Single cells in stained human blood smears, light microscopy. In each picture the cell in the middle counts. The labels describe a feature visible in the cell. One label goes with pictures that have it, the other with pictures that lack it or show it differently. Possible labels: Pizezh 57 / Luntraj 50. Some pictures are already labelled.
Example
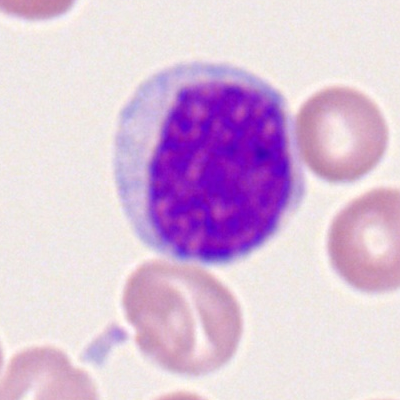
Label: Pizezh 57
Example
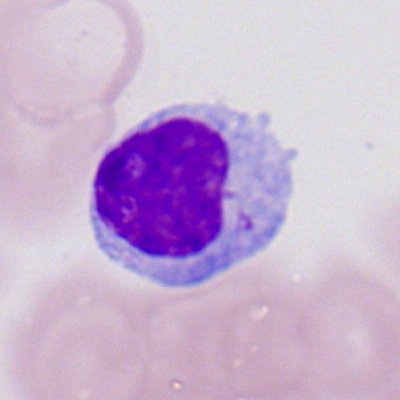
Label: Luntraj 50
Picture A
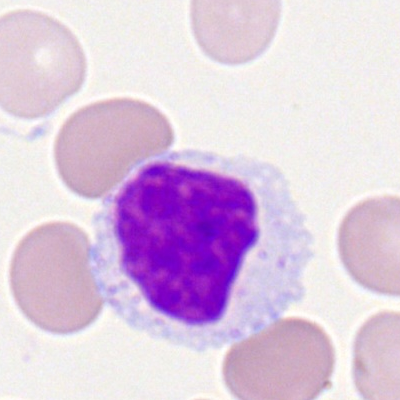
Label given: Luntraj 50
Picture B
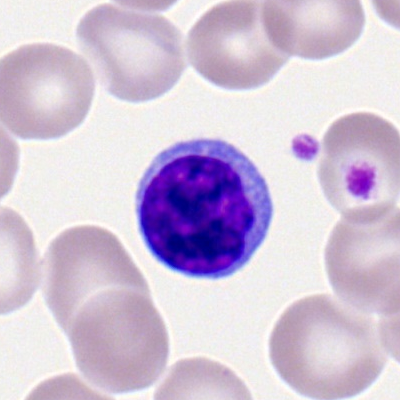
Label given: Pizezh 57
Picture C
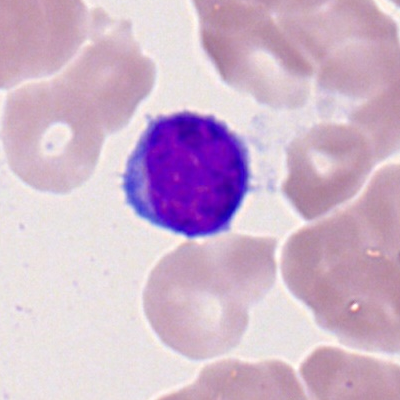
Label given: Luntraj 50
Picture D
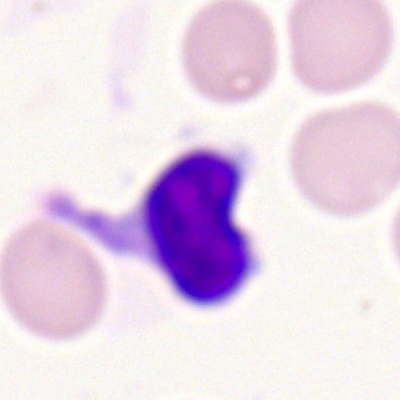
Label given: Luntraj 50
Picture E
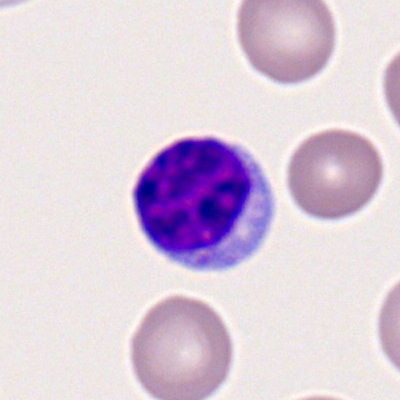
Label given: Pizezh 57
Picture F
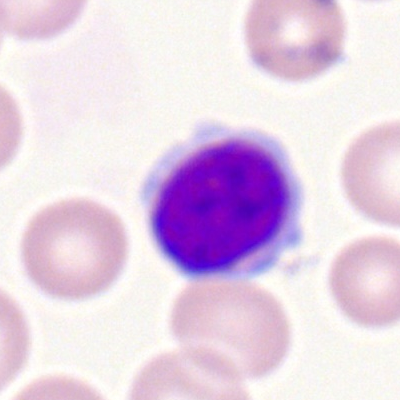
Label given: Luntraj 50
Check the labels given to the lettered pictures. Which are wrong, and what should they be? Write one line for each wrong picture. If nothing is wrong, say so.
Every label is right.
